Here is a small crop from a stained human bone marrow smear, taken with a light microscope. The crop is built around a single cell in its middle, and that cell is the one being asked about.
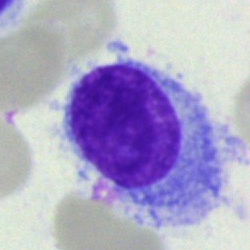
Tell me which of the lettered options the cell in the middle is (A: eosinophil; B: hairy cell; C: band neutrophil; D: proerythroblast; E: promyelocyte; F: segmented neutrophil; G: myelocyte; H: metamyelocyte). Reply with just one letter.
B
